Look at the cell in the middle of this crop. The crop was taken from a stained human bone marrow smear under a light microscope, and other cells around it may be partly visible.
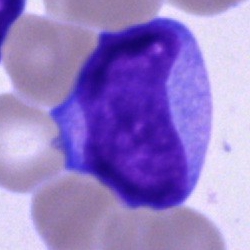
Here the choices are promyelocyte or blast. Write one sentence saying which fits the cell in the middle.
The cell at the middle of the frame should be recorded as a blast.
